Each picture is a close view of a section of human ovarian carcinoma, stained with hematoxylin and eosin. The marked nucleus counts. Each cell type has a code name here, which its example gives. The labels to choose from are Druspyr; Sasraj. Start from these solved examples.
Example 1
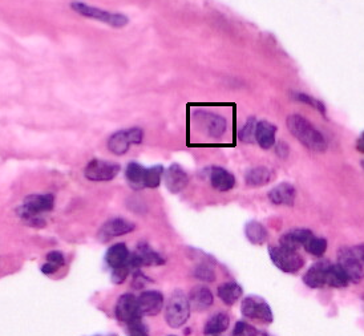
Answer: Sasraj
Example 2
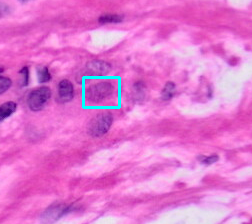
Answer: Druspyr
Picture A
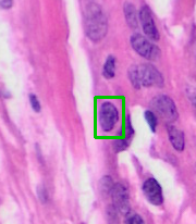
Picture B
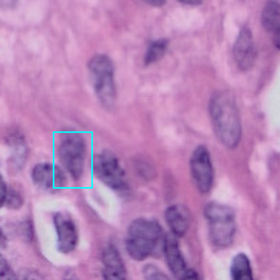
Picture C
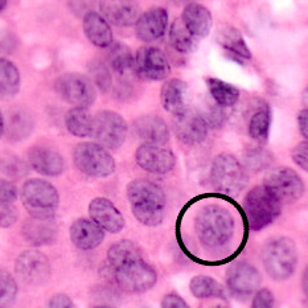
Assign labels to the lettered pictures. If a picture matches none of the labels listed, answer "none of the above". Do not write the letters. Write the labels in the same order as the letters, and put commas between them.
Sasraj, Druspyr, Druspyr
